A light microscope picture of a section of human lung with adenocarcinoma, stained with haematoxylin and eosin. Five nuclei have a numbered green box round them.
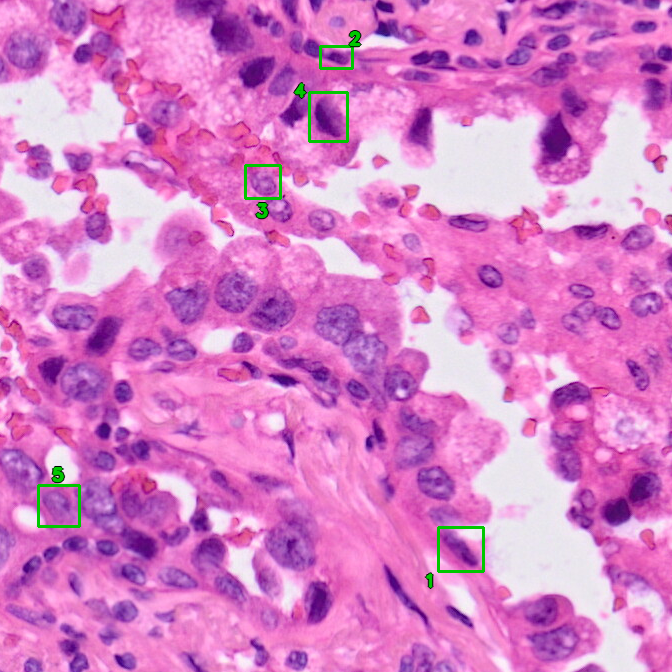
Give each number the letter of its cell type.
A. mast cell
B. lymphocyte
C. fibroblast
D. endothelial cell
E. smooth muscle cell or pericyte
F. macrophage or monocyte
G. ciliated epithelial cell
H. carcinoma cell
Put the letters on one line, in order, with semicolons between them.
H; B; F; H; H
